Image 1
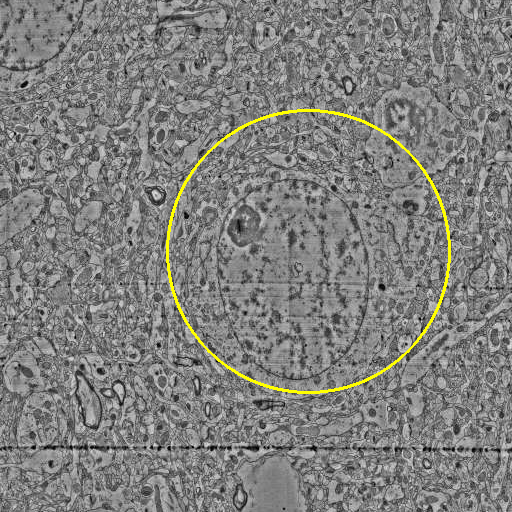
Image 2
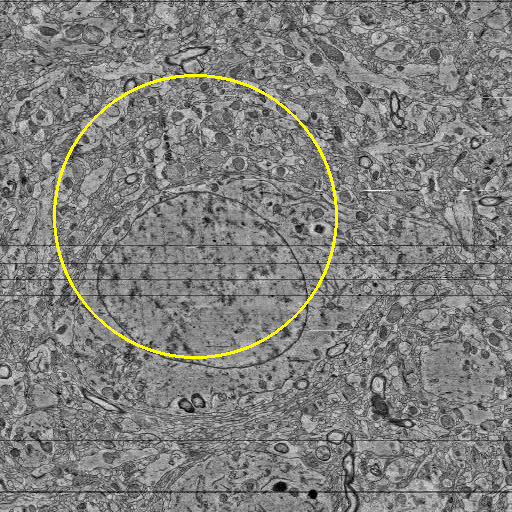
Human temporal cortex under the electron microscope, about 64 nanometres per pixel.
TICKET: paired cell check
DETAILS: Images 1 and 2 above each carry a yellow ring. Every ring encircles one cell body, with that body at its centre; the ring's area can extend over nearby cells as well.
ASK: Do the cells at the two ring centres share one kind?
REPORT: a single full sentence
Yes, the ring-centre cells of Images 1 and 2 belong to a single kind.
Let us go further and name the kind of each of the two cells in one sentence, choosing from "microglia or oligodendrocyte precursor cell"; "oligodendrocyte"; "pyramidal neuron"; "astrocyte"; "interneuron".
The first and the second cell are each a pyramidal neuron.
